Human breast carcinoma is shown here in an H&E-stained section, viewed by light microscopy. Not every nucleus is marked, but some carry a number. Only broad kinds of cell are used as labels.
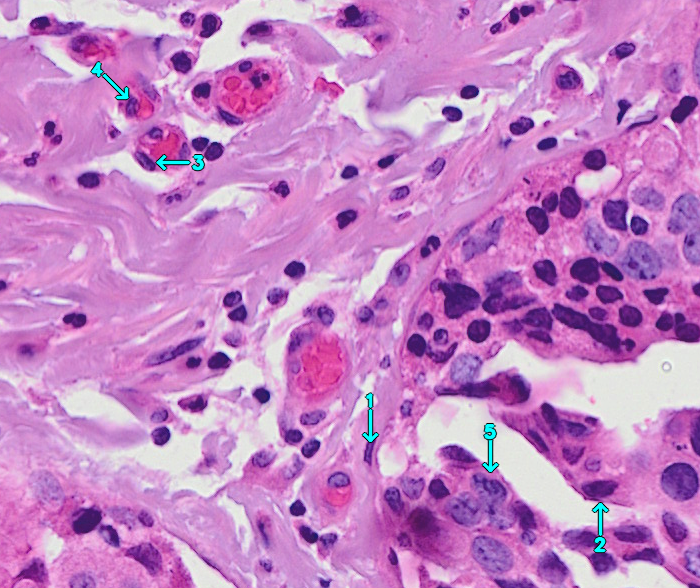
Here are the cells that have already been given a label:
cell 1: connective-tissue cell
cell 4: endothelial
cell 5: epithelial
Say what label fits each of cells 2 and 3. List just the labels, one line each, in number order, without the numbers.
epithelial
endothelial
